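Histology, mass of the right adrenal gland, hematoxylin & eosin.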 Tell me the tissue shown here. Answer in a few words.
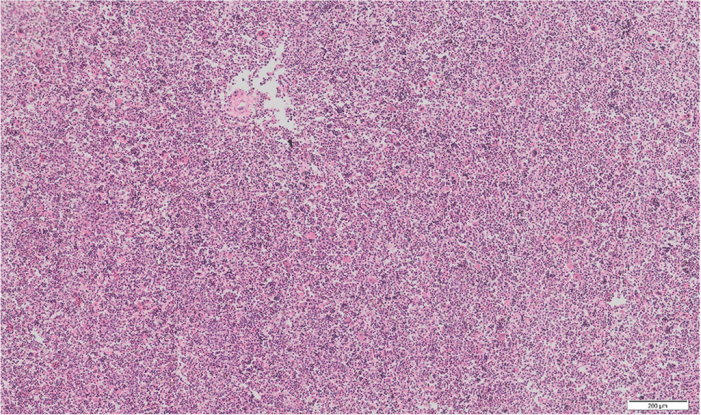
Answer: Splenic tissue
